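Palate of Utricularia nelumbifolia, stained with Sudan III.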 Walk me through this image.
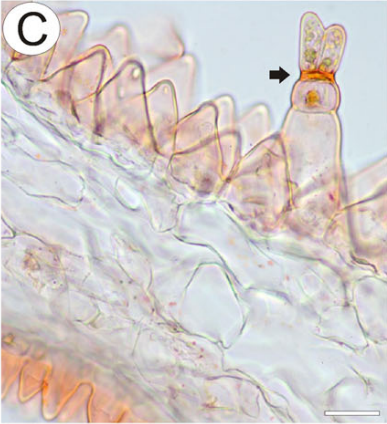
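The side walls of the short central cell are stained a strong orange, unlike the pale walls elsewhere. Beneath the epidermis lie large, thin-walled, loosely arranged cells.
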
